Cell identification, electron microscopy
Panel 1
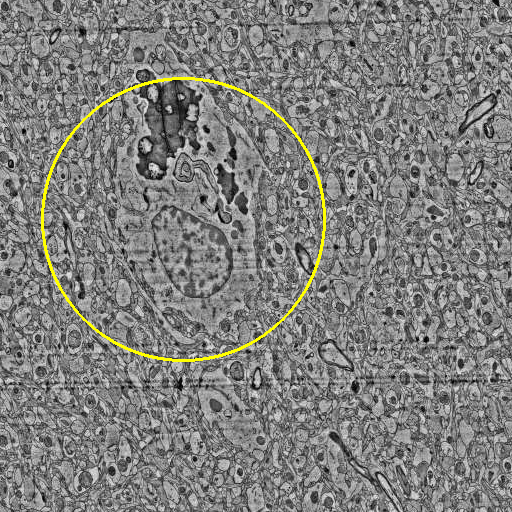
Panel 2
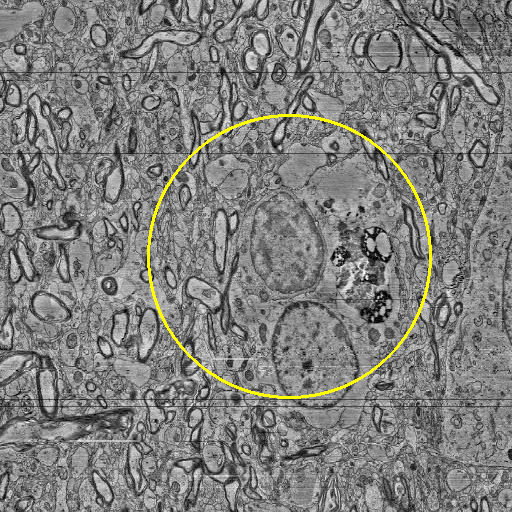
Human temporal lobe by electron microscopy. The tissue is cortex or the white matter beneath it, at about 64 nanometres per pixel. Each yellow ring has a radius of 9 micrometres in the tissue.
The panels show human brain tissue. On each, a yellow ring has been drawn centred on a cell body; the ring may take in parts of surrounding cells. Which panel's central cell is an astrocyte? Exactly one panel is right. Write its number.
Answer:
1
